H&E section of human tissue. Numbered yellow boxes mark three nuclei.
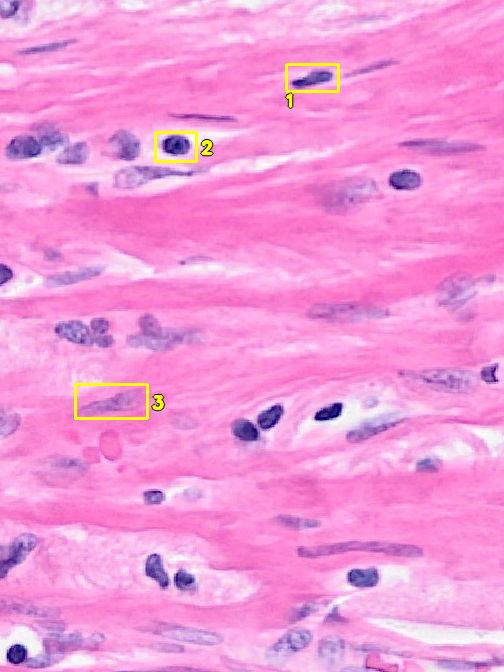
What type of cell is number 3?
fibroblast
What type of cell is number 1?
lymphocyte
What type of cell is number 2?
lymphocyte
